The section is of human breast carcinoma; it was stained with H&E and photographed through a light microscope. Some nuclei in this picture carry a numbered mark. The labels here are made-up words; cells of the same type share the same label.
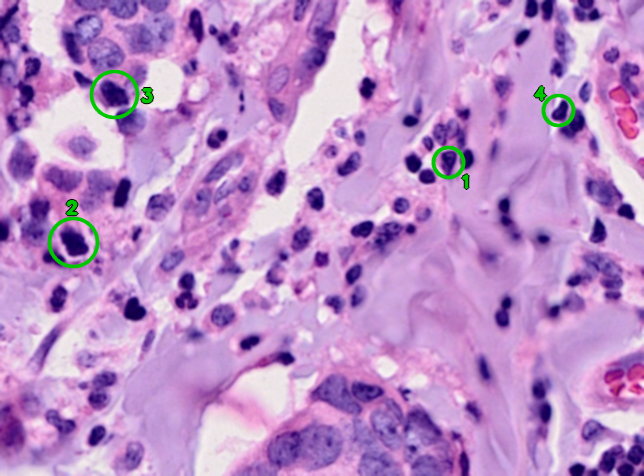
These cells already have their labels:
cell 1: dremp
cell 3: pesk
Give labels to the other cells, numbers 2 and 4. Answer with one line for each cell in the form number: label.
2: pesk
4: dremp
